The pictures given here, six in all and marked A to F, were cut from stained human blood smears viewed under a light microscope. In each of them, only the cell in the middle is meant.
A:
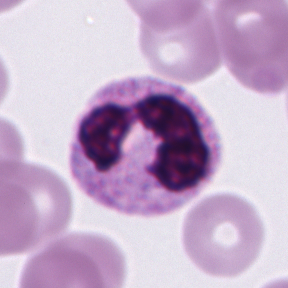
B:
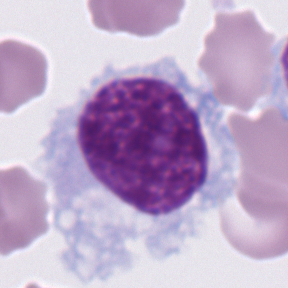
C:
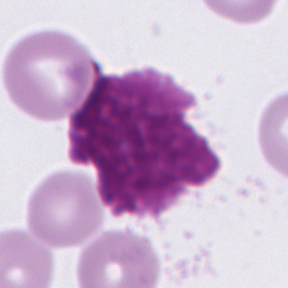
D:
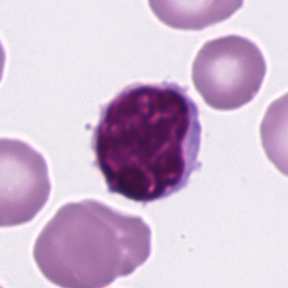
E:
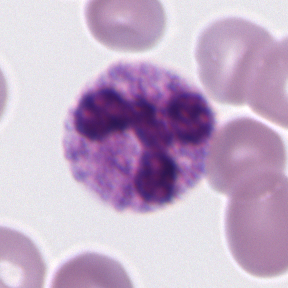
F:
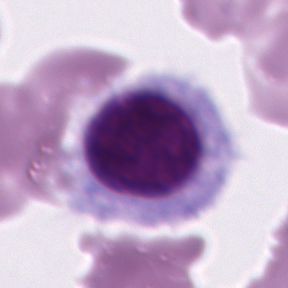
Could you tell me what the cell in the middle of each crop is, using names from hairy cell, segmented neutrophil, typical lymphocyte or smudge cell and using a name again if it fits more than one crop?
A: segmented neutrophil
B: hairy cell
C: smudge cell
D: typical lymphocyte
E: segmented neutrophil
F: hairy cell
